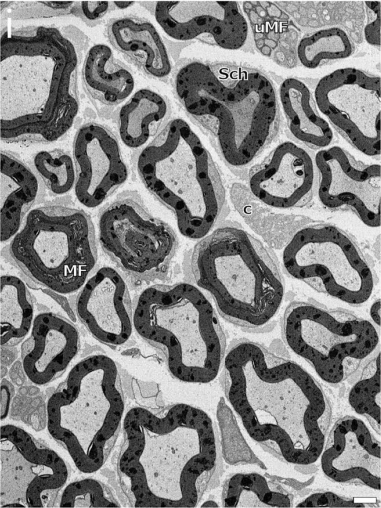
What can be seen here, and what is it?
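This is a cross section of a peripheral nerve packed with myelinated fibers, with Schwann cells, collagen bundles and a small group of unmyelinated fibers. The myelinated axons have thick dark myelin sheaths of varying thickness, many with irregular, folded outlines, and the sheaths contain scattered darker blotches. The axon interiors are pale with small dark dots. In one corner a cluster of small round unmyelinated axons lies grouped together without dark sheaths. Lighter connective tissue fills the spaces between the fibers.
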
